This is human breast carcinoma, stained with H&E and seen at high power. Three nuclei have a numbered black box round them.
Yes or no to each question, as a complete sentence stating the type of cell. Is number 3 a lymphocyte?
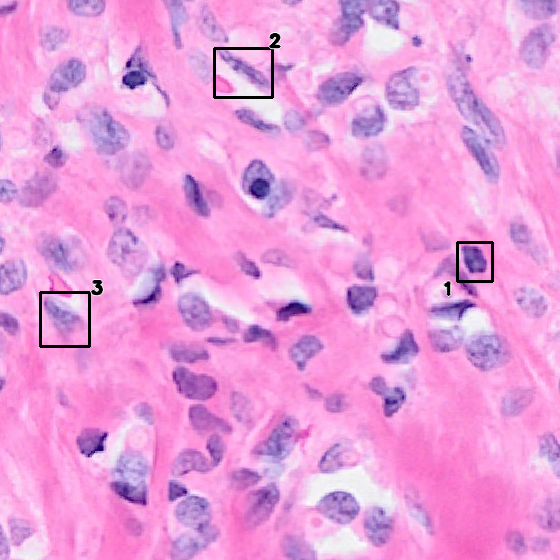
No, the cell at marker 3 is not a lymphocyte; it is an endothelial cell.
